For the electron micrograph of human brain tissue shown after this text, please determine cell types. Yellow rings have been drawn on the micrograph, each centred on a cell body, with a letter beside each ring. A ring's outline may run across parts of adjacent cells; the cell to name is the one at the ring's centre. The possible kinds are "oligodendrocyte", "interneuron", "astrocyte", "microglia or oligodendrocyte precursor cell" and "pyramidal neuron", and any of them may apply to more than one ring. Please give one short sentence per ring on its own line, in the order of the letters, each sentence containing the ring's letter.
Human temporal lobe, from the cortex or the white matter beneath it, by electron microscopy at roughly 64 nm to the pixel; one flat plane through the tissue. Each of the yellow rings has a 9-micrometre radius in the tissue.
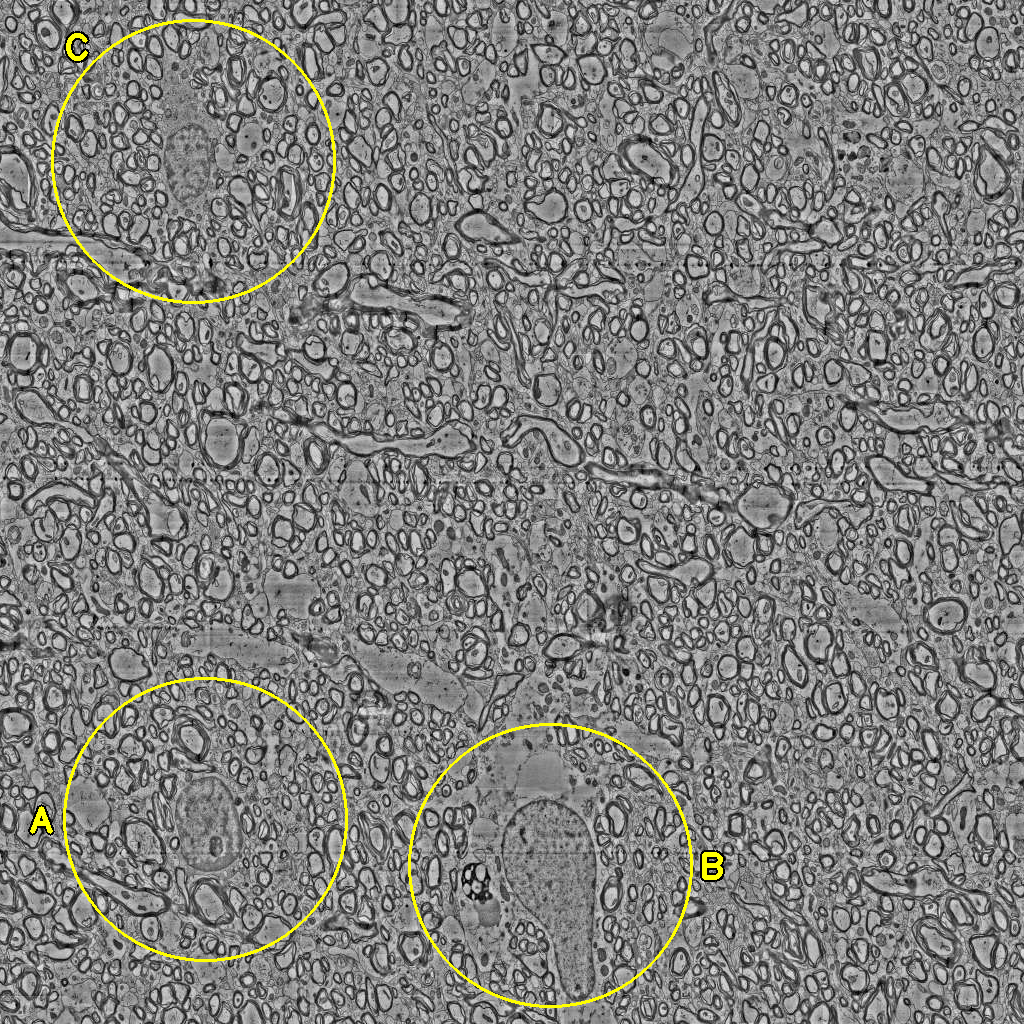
Ring A is set around an oligodendrocyte.
Ring B is set around an astrocyte.
Ring C is set around an oligodendrocyte.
